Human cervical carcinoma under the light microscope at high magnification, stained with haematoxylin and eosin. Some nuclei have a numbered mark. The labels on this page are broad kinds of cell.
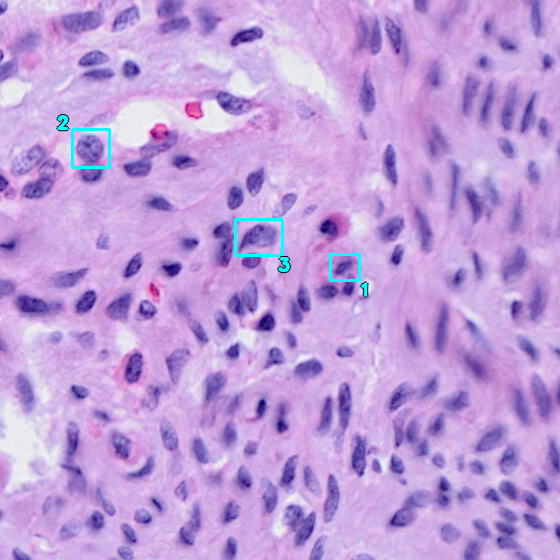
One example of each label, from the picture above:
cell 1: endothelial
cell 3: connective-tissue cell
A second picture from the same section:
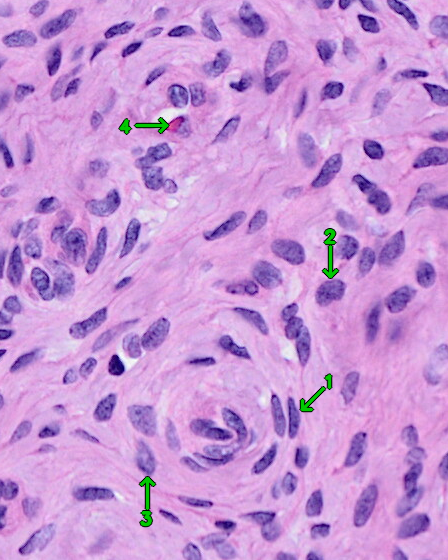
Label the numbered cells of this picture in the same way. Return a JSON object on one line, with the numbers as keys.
{"1": "connective-tissue cell", "2": "connective-tissue cell", "3": "connective-tissue cell", "4": "endothelial"}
